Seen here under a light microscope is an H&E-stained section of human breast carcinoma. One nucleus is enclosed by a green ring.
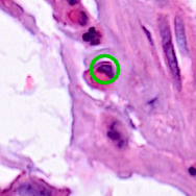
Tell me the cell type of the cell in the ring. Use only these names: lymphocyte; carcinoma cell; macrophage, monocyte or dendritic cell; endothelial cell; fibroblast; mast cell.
endothelial cell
